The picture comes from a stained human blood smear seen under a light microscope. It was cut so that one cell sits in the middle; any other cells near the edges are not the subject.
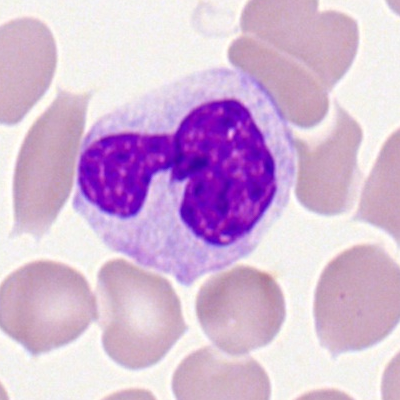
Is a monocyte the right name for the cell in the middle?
yes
